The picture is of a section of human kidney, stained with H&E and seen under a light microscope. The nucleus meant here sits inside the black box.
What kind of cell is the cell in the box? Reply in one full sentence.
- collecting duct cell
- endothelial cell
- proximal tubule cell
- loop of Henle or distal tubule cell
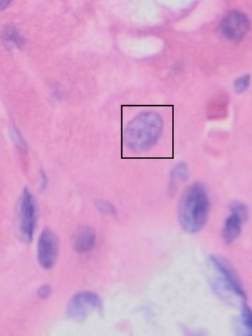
The cell type of the cell in the box is that of a proximal tubule cell.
